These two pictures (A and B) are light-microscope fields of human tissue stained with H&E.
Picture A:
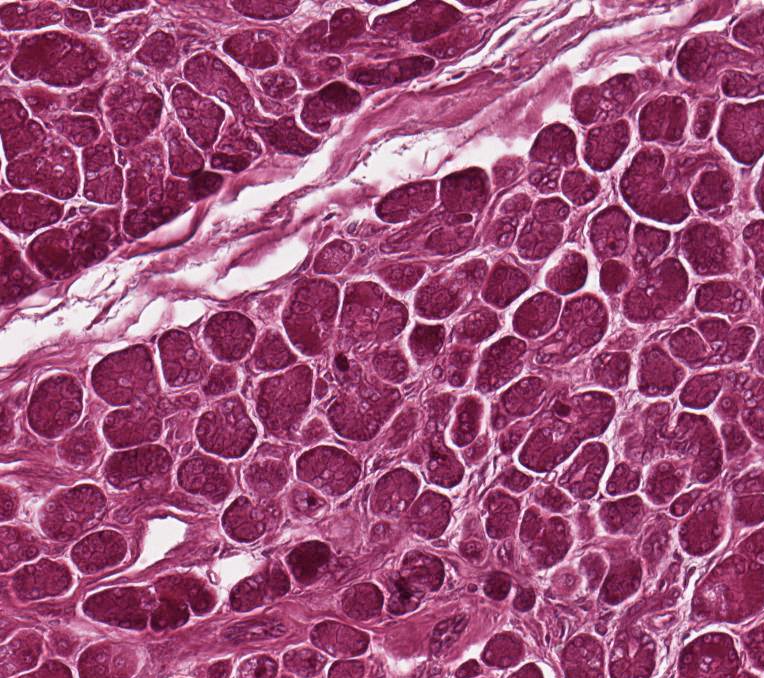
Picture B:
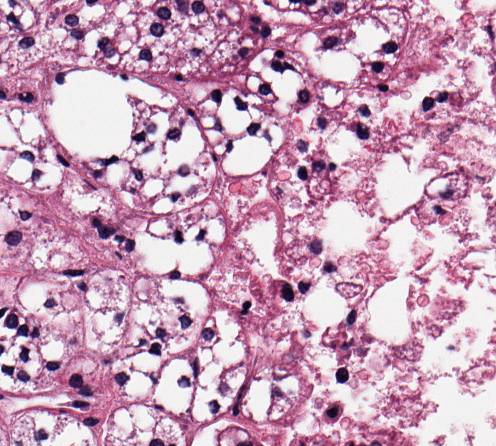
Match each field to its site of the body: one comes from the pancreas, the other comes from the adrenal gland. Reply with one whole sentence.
Picture A comes from the pancreas; picture B comes from the adrenal gland.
